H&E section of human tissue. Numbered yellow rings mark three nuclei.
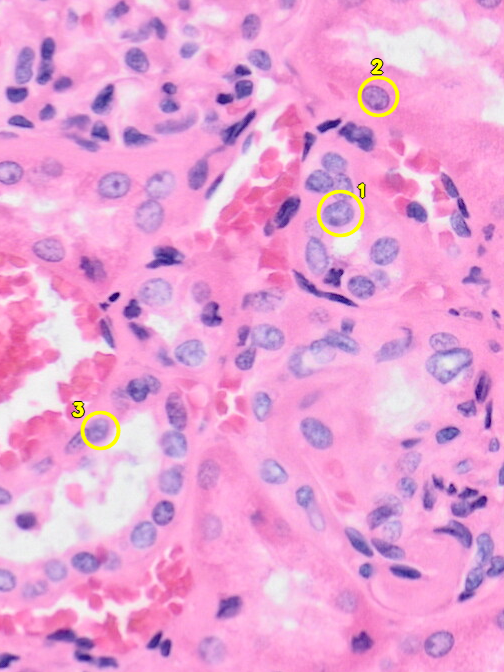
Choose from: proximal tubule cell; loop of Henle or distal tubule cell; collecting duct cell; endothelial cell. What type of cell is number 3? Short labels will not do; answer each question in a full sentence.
The marked cell bearing number 3 is a collecting duct cell.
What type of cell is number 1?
The cell that carries the label 1 is a collecting duct cell.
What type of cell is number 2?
Corresponding to a proximal tubule cell is the cell labelled 2.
